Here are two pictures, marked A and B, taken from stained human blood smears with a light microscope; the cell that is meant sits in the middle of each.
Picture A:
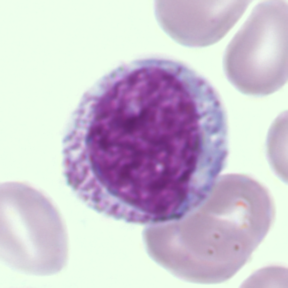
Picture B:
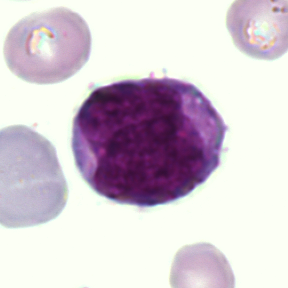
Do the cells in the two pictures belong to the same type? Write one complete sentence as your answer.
No. Picture A shows a myelocyte, but picture B shows an atypical promyelocyte.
